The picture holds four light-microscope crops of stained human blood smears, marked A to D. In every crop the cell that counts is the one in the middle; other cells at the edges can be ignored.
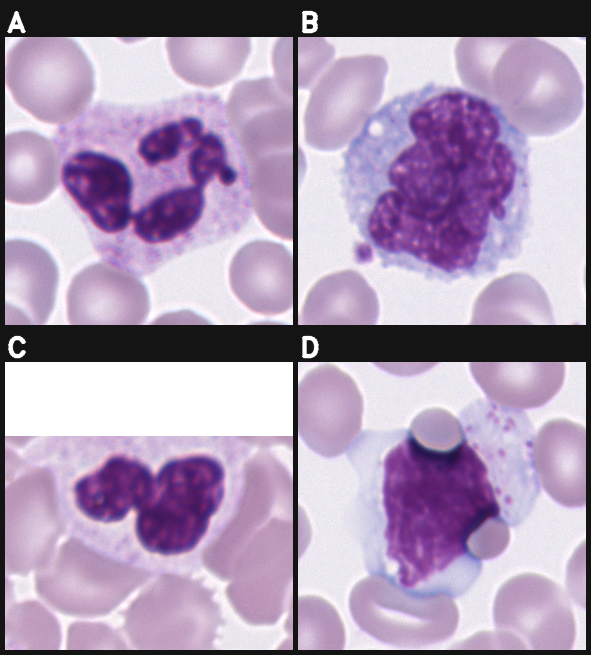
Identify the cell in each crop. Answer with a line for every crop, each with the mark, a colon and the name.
A: neutrophil
B: monocyte
C: neutrophil
D: large granular lymphocyte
